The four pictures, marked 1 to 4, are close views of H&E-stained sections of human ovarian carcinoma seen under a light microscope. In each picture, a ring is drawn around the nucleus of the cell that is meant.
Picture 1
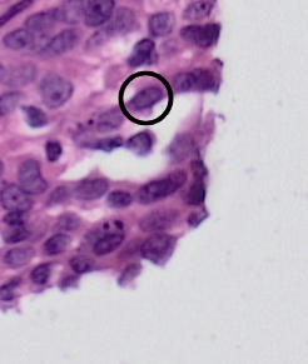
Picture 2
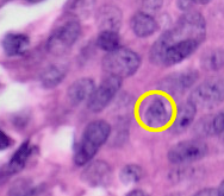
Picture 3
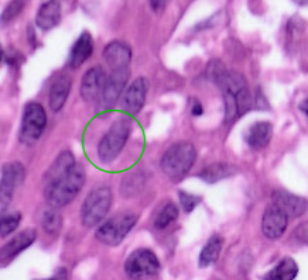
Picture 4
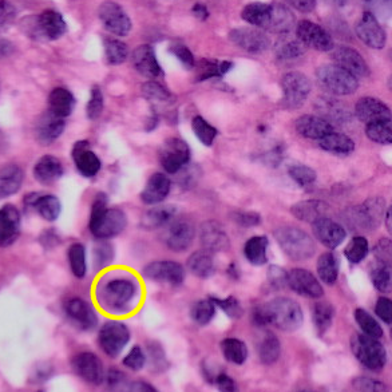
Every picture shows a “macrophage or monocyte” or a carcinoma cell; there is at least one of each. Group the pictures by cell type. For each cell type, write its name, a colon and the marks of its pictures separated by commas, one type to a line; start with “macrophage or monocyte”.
macrophage or monocyte: 2, 4
carcinoma cell: 1, 3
